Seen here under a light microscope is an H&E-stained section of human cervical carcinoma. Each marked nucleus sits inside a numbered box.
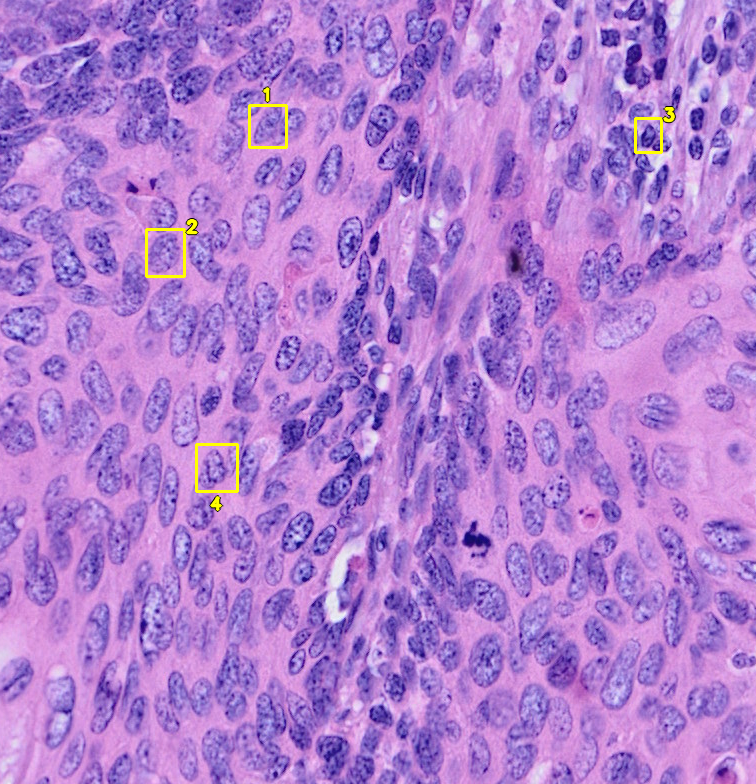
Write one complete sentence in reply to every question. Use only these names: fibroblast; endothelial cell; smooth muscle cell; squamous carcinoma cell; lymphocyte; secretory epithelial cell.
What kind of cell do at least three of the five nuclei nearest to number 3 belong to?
Around number 3, most of the five nearest nuclei are those of lymphocytes.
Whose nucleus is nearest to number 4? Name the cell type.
The cell nearest to number 4 is a squamous carcinoma cell.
